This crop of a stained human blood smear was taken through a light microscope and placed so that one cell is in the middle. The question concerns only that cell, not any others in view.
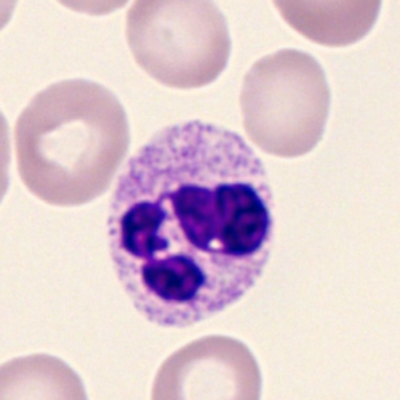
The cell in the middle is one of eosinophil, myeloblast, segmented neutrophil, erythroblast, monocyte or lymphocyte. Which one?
segmented neutrophil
